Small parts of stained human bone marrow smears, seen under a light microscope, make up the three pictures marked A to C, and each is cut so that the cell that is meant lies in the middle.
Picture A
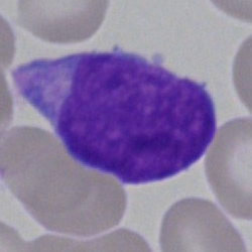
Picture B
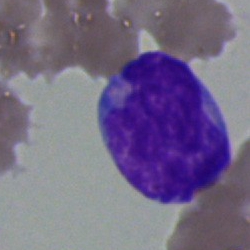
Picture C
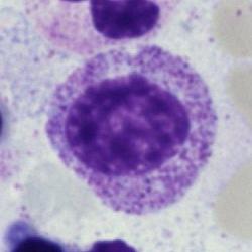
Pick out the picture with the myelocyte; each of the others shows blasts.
C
